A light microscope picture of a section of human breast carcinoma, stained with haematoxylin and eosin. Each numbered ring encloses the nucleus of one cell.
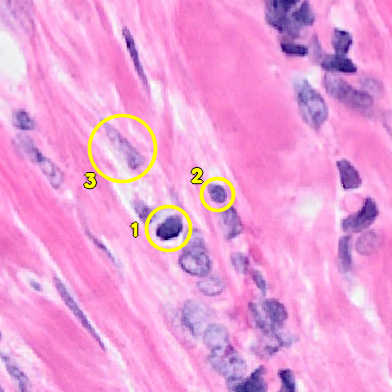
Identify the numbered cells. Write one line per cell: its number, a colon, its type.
1: lymphocyte
2: lymphocyte
3: fibroblast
